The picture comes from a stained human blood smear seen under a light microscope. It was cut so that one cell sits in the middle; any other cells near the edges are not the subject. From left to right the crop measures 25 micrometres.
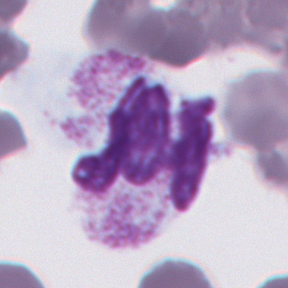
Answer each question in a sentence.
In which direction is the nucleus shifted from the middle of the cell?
The nucleus sits off-centre, toward the right.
